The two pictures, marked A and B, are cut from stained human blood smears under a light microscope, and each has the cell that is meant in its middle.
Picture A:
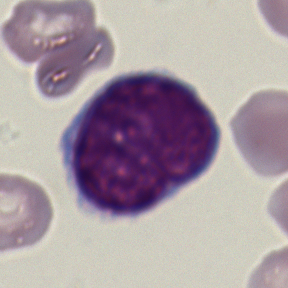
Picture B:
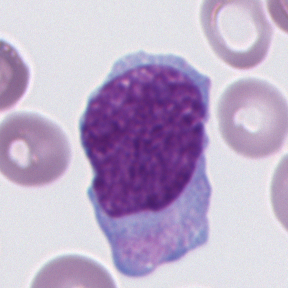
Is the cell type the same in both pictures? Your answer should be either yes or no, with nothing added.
no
